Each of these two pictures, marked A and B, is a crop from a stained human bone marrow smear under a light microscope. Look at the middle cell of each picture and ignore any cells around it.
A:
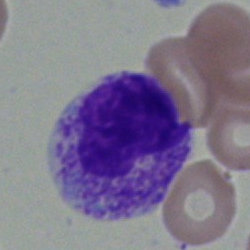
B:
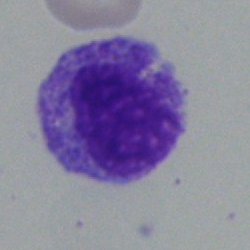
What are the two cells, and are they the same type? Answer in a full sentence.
Yes, the central cells in both of the crops are myelocytes.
